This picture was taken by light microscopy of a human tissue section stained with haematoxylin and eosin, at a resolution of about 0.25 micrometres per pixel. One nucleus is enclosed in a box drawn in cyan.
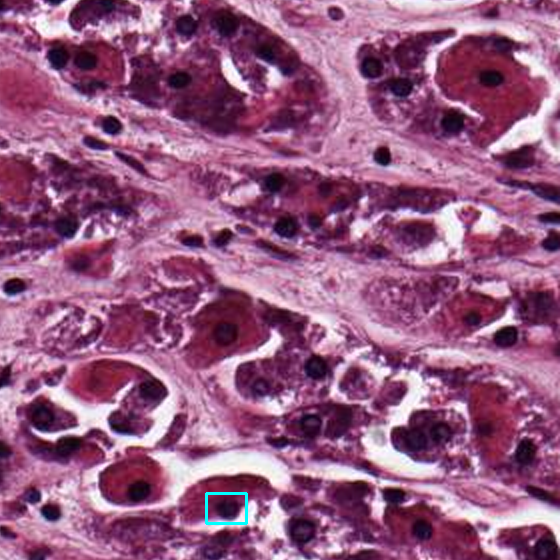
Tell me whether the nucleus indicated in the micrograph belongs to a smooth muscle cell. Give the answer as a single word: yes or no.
no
